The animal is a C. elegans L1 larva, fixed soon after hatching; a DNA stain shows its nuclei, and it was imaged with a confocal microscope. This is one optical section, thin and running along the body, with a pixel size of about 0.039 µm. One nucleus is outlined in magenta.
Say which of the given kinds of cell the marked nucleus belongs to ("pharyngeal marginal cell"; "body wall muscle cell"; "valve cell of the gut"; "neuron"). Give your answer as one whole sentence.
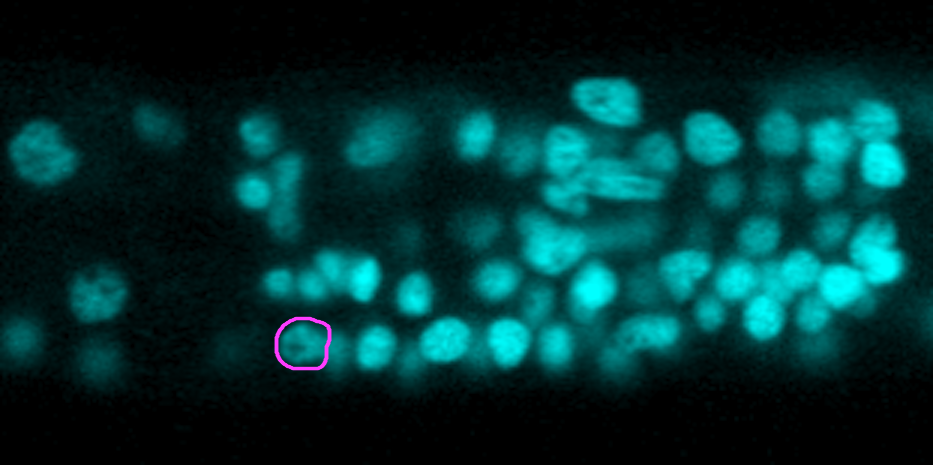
This is the nucleus of a body wall muscle cell.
